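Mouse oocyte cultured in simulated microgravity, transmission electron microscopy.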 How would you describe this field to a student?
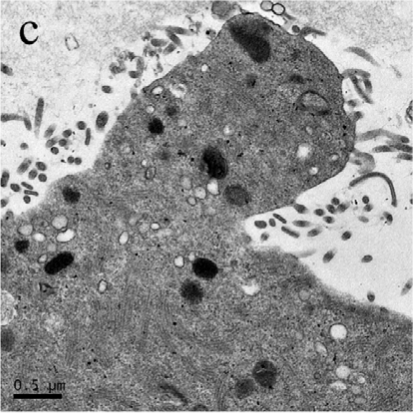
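The bleb is continuous with the underlying cytoplasm through a broad neck. Its contents resemble the adjoining cytoplasm: fine granular matrix, small clear vesicles and scattered dense bodies. No nucleus or other distinct large structure lies within it. Numerous slender microvilli, cut in cross and oblique section, crowd the space around the bleb and along the cell surface.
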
